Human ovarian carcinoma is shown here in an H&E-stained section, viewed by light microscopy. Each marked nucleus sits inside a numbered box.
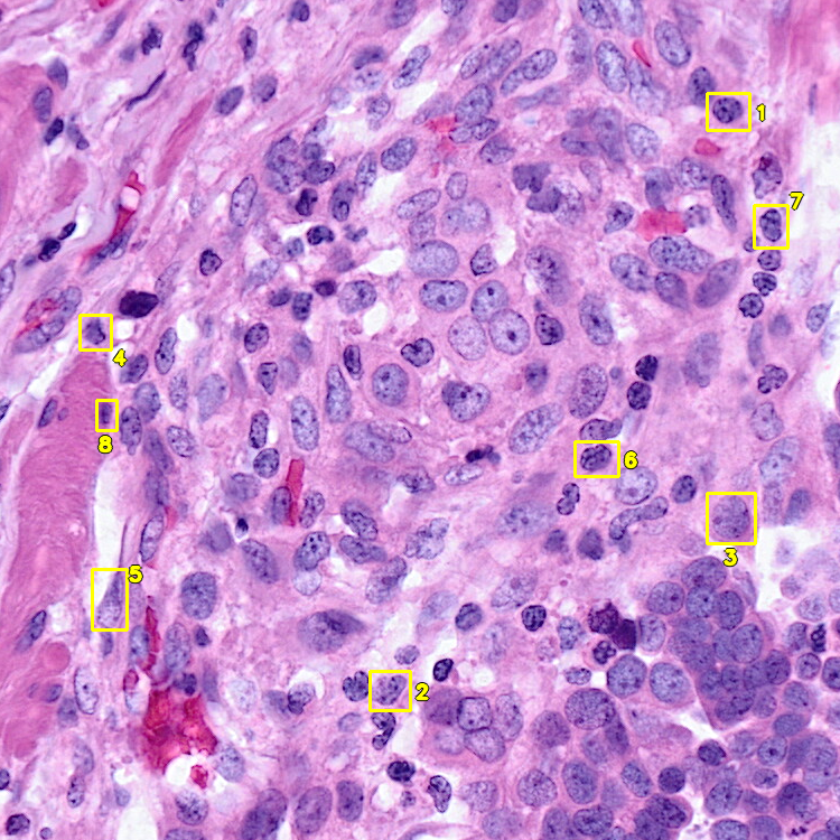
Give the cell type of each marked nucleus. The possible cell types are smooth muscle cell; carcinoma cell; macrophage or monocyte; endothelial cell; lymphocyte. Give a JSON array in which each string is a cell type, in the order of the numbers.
["lymphocyte", "macrophage or monocyte", "carcinoma cell", "macrophage or monocyte", "endothelial cell", "lymphocyte", "lymphocyte", "smooth muscle cell"]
